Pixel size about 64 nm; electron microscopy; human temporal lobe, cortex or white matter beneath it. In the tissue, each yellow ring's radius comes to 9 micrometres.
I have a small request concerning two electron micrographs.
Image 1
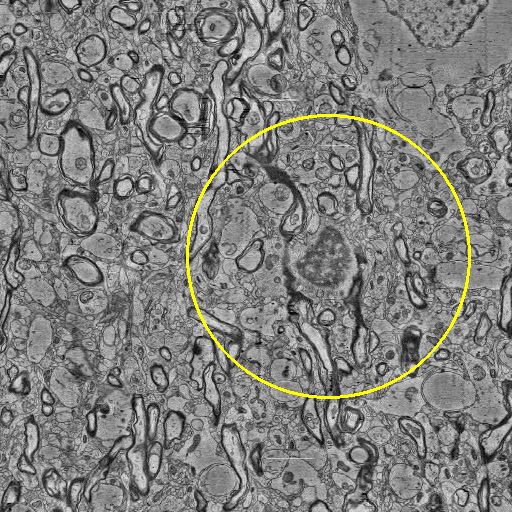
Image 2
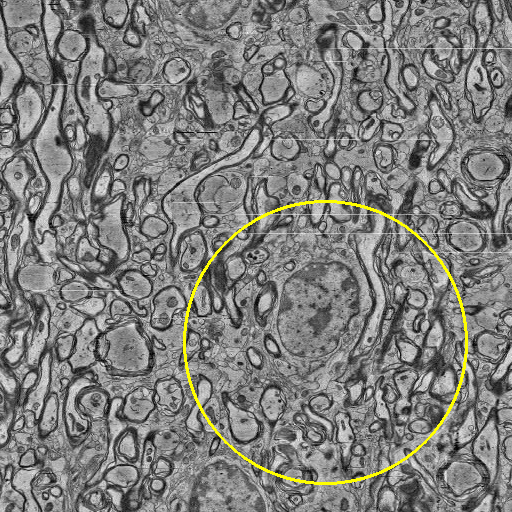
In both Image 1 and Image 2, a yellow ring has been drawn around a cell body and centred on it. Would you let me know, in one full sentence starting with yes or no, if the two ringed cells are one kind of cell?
No, the cells ringed in Image 1 and Image 2 are two kinds of cell.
